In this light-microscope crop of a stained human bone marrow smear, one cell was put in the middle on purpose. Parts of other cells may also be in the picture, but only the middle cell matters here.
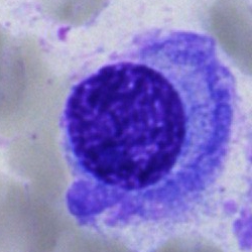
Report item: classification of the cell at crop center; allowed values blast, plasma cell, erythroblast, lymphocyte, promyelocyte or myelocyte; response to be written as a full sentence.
The cell at the middle of the frame should be recorded as a plasma cell.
